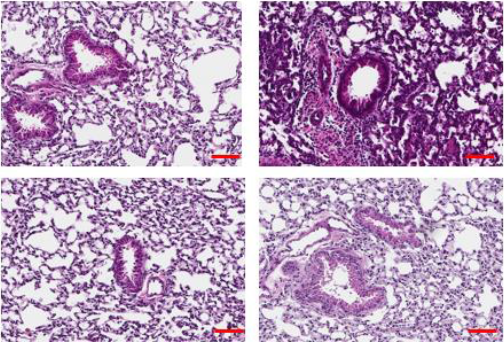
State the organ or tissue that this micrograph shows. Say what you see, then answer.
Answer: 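Thin-walled alveolar spaces fill much of each image. Airways with a folded epithelial lining sit next to blood vessels. The tissue is a spongy network of thin septa. So: lung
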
